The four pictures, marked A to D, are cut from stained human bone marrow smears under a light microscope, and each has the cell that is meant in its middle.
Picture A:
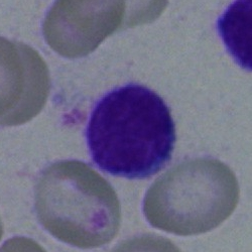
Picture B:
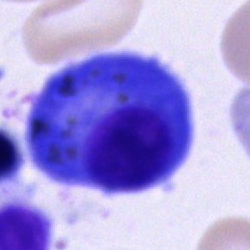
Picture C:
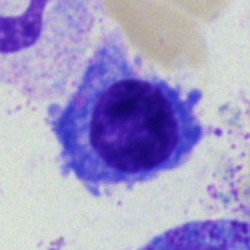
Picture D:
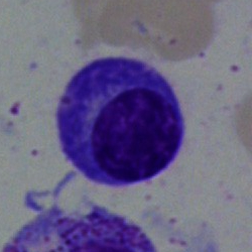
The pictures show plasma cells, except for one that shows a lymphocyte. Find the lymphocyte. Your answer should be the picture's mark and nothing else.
A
